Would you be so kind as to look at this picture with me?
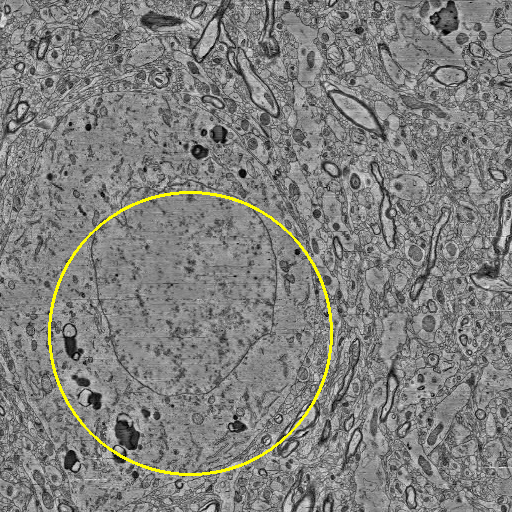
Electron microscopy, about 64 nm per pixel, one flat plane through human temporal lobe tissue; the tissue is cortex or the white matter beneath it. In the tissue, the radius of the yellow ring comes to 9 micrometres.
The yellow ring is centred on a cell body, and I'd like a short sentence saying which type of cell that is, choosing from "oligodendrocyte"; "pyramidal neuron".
The cell body in the ring belongs to a pyramidal neuron.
